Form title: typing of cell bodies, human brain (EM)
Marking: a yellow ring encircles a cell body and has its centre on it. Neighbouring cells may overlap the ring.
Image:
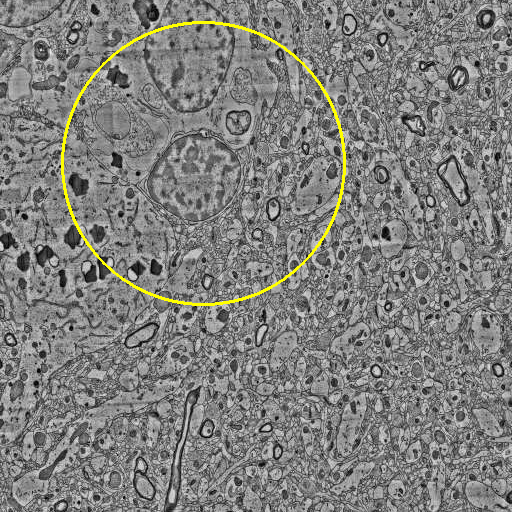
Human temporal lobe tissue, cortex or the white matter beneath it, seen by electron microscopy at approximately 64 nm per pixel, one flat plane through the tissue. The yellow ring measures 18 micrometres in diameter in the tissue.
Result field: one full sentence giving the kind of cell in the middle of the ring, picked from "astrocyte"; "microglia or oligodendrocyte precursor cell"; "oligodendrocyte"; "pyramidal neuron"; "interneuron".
In the picture, the ring is centred on a microglial cell or oligodendrocyte precursor cell, whose cell body it encircles.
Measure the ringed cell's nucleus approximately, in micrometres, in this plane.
In this plane, the nucleus of the cell at the centre of the ring is about 6 micrometres across.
